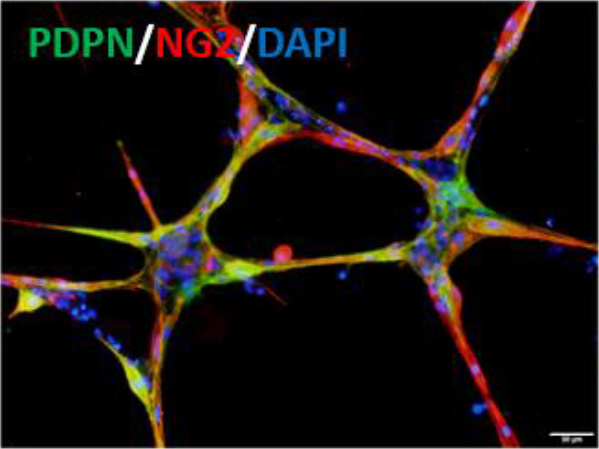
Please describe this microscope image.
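This is a cultured capillary-like network of cell cords that meet in thick star-shaped junctions, with long tapering arms reaching out to neighbouring junctions and surrounding empty spaces. Blue nuclei cluster densely at the junctions and are scattered along the arms. Elongated cells with long thin processes cover the cords, and much of their cytoplasm appears yellow where green and red overlap, with some regions more purely green or red. A few small rounded cells lie free beside the cords.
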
